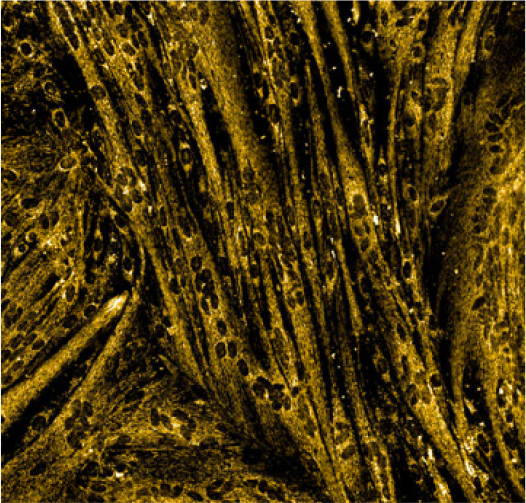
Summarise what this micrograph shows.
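Here again are cultured myotubes, long multinucleated muscle cells lying in parallel bundles that cross at shallow angles. Dark oval nuclei appear as holes in the stain, often lined up in rows inside a single cell. The cytoplasm carries a golden-yellow fluorescence made of fine grains and short threads, brightest around the nuclei and along the cell bodies, while dark narrow spaces separate the neighbouring myotubes.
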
